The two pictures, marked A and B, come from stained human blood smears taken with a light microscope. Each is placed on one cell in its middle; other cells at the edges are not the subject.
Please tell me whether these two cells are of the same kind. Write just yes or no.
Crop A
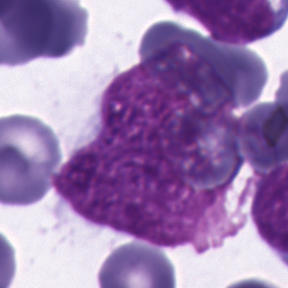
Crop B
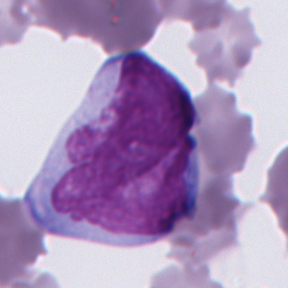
no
